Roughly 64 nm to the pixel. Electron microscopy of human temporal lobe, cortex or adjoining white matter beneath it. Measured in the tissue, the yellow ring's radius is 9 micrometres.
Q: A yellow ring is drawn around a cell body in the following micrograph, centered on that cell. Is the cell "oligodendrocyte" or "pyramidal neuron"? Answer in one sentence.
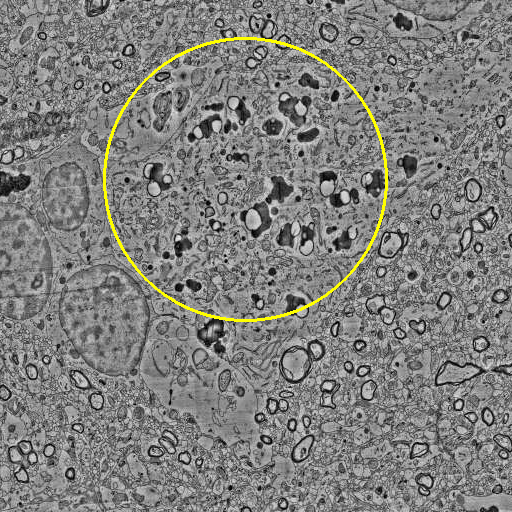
The cell in the center of the ring is a pyramidal neuron.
